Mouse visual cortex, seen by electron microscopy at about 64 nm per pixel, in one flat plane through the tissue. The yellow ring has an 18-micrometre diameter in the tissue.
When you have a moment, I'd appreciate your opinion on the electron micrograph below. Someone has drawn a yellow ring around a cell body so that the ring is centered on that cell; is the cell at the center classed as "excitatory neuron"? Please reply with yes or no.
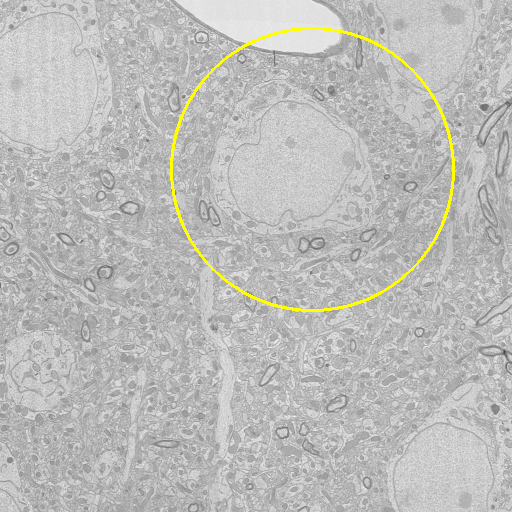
Yes, that cell is of the named kind.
